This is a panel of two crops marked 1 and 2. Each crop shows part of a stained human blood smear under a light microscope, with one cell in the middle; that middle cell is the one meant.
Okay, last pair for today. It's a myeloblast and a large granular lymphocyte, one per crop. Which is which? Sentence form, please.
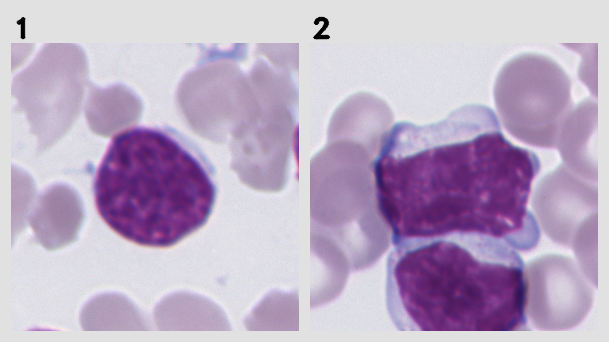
What is seen in crop 1 is a myeloblast; what is seen in crop 2 is a large granular lymphocyte.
